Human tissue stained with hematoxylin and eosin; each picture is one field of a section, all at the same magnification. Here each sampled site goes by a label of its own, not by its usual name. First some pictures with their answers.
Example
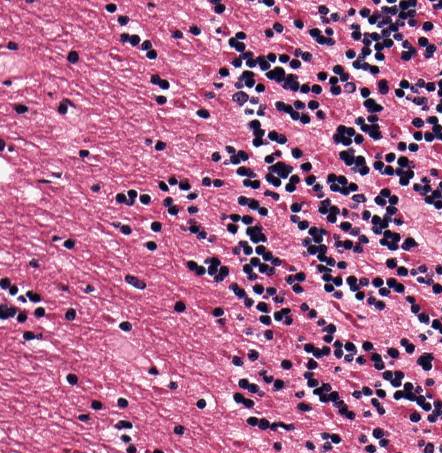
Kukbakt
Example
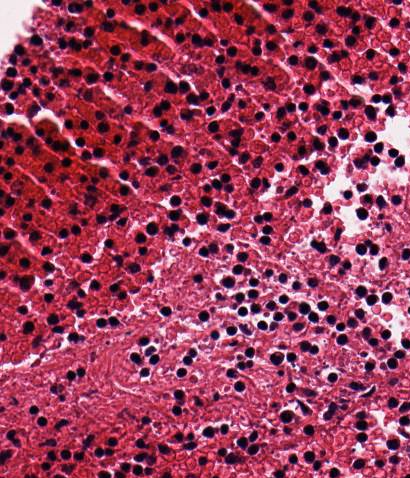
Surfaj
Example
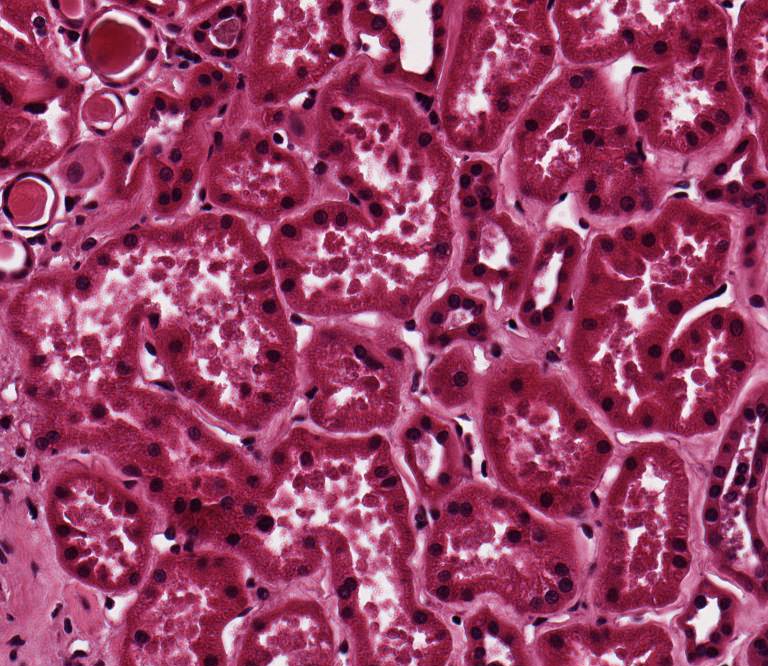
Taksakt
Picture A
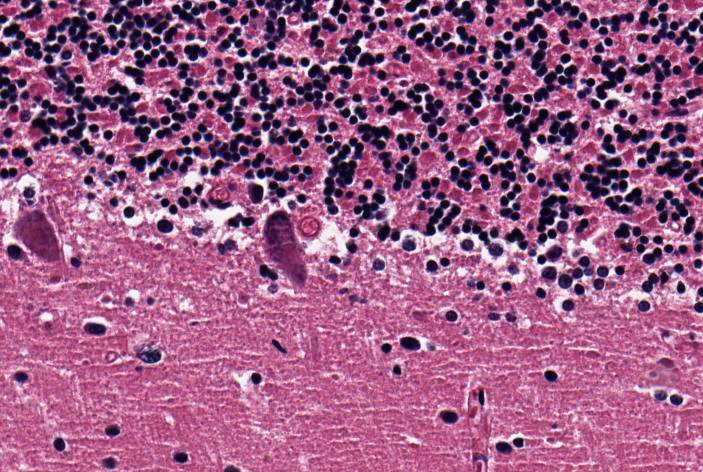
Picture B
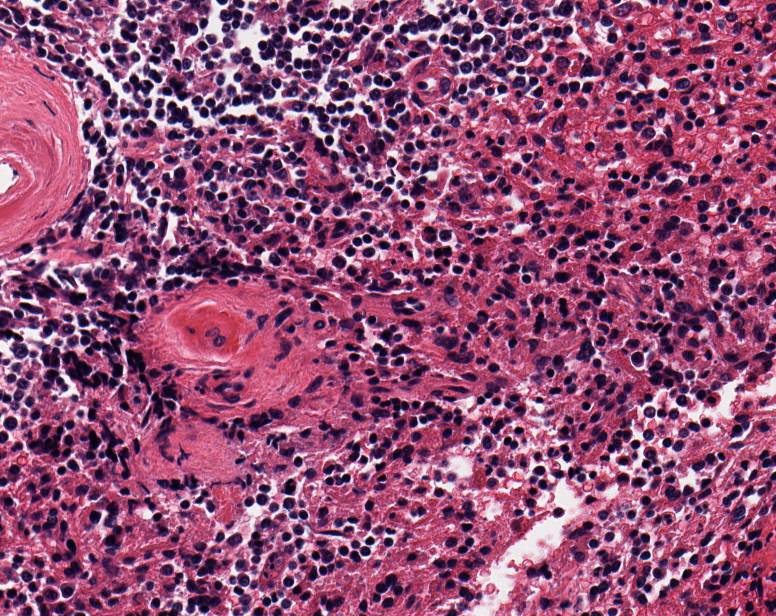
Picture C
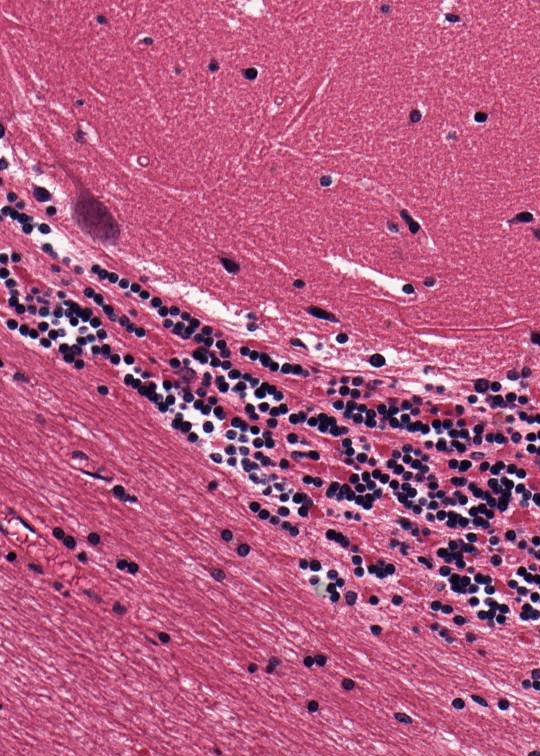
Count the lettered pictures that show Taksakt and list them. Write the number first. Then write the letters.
0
